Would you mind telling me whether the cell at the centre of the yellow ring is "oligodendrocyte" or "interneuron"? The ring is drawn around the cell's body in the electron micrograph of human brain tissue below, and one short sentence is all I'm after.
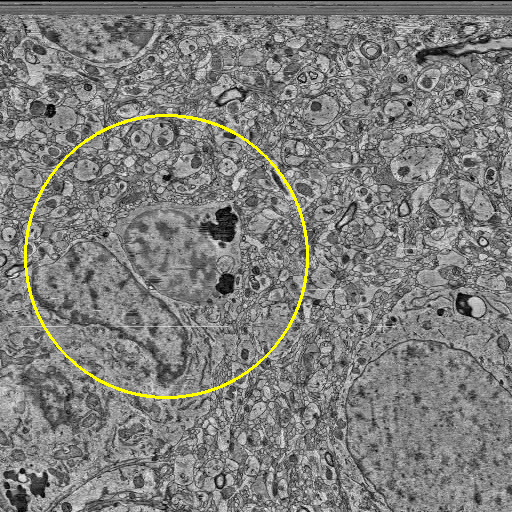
In the centre of the ring lies an oligodendrocyte.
